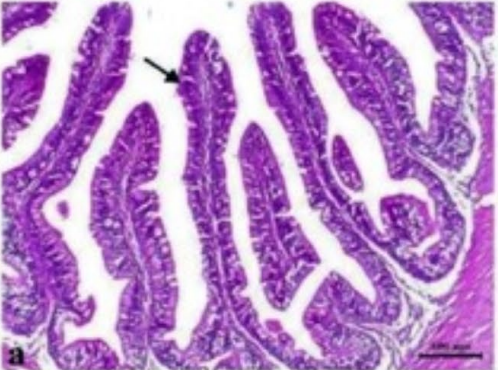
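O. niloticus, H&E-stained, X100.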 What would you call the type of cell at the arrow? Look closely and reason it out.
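Goblet cells. The arrow points to the epithelial lining of a villus. Pale, clear spaces are scattered among the purple epithelial cells.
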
